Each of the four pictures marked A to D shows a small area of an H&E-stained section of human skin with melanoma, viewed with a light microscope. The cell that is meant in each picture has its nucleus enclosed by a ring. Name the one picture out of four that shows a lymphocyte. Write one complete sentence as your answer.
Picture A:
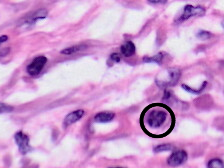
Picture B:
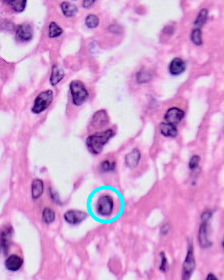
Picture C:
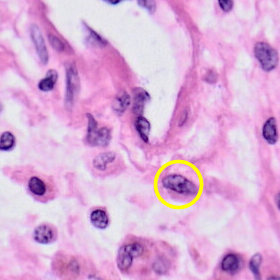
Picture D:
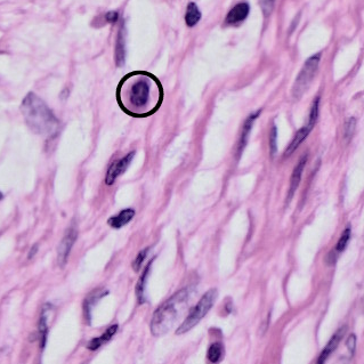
It is picture B that shows the lymphocyte.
